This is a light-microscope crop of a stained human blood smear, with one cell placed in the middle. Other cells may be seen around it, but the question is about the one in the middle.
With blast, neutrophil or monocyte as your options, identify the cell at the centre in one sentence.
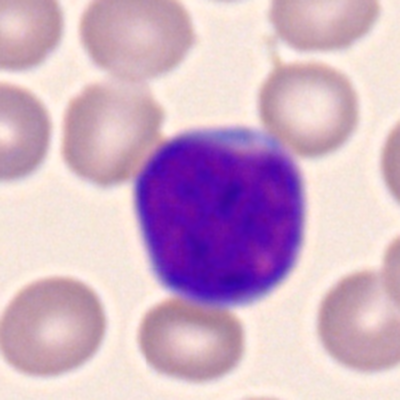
As for the central cell, it is a blast.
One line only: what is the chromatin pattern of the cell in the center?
The chromatin of this one is coarsely clumped.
